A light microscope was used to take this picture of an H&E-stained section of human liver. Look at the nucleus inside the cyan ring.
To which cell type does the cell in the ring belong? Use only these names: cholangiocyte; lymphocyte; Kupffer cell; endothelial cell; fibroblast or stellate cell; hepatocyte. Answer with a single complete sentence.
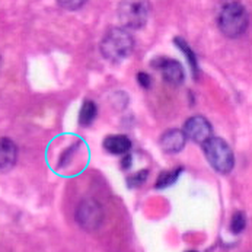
The cell in the ring is a fibroblast or stellate cell.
